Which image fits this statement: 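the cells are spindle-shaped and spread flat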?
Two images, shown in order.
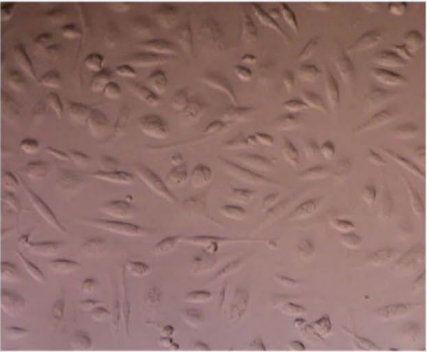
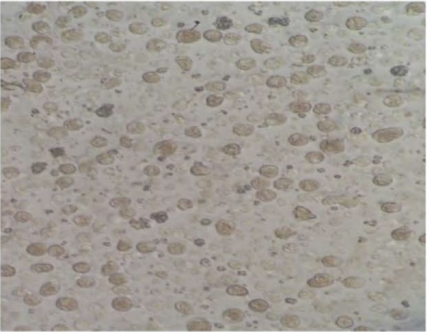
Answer: the first image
